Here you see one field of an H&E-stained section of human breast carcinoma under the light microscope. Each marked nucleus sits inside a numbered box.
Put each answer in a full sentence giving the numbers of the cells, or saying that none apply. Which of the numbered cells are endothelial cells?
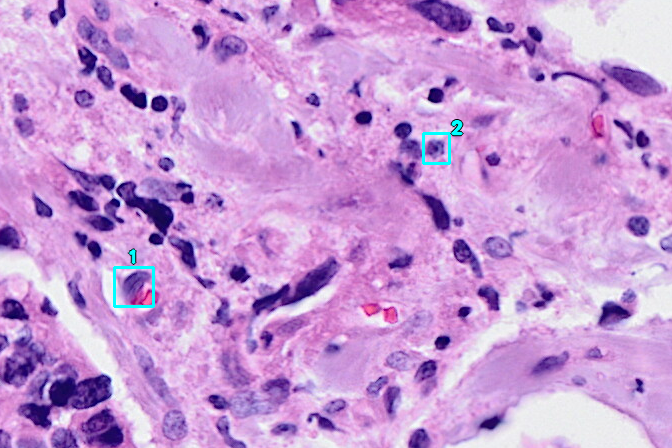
Only cell 1 qualifies as an endothelial cell among the numbered cells.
